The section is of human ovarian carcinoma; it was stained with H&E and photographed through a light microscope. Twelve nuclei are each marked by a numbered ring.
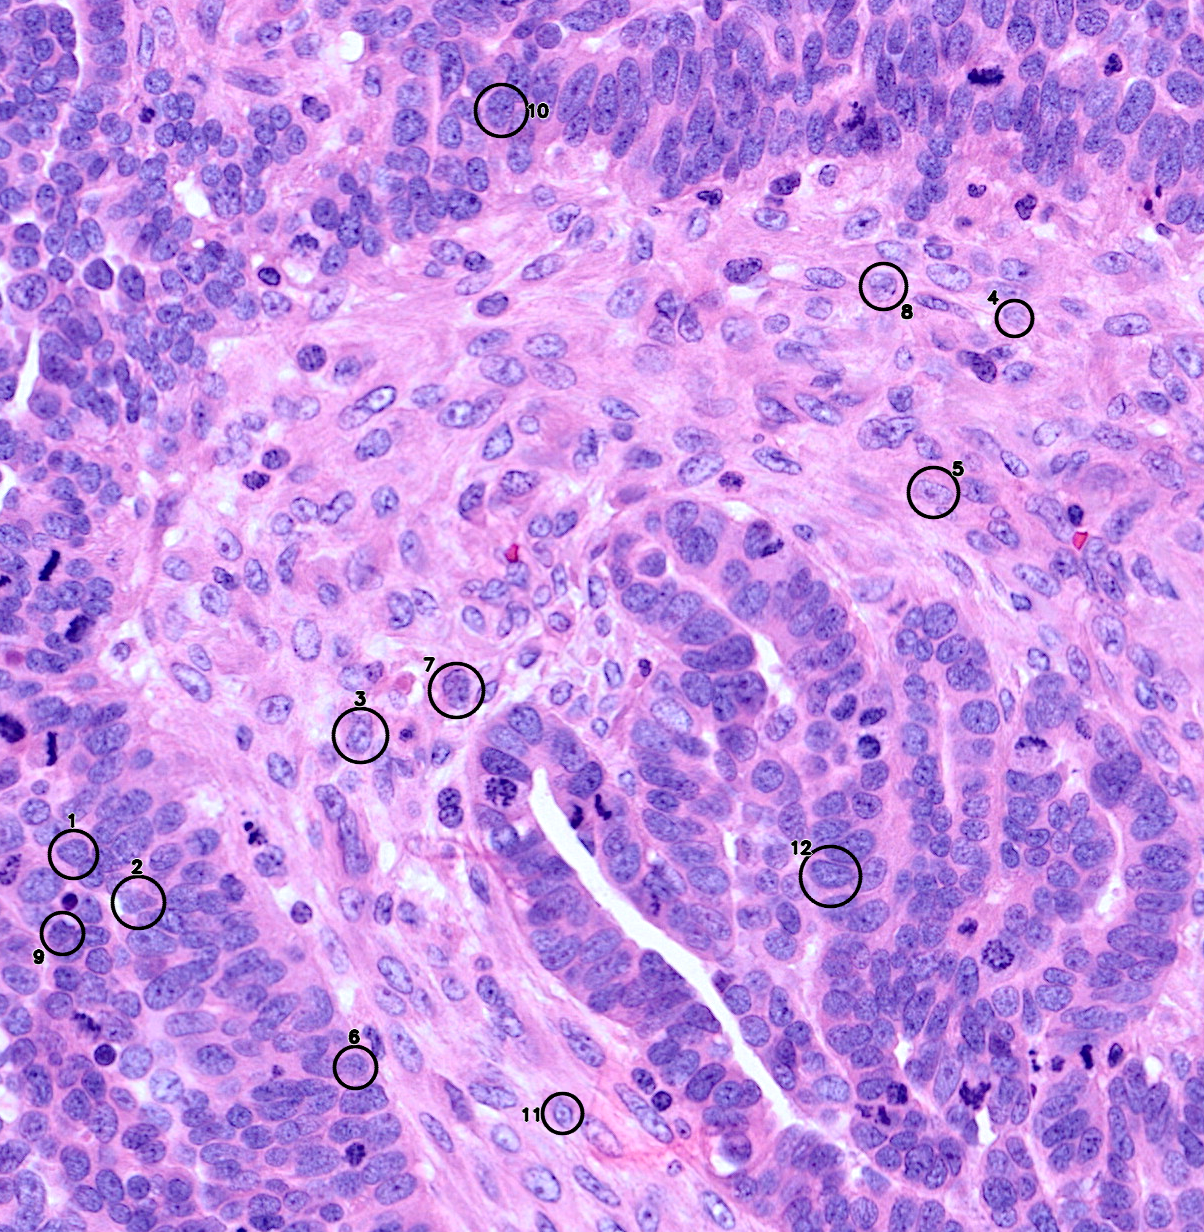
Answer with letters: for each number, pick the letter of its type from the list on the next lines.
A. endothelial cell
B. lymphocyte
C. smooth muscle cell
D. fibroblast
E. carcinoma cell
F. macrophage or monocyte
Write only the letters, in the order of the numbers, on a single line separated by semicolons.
E; E; D; D; D; E; D; D; E; E; D; E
